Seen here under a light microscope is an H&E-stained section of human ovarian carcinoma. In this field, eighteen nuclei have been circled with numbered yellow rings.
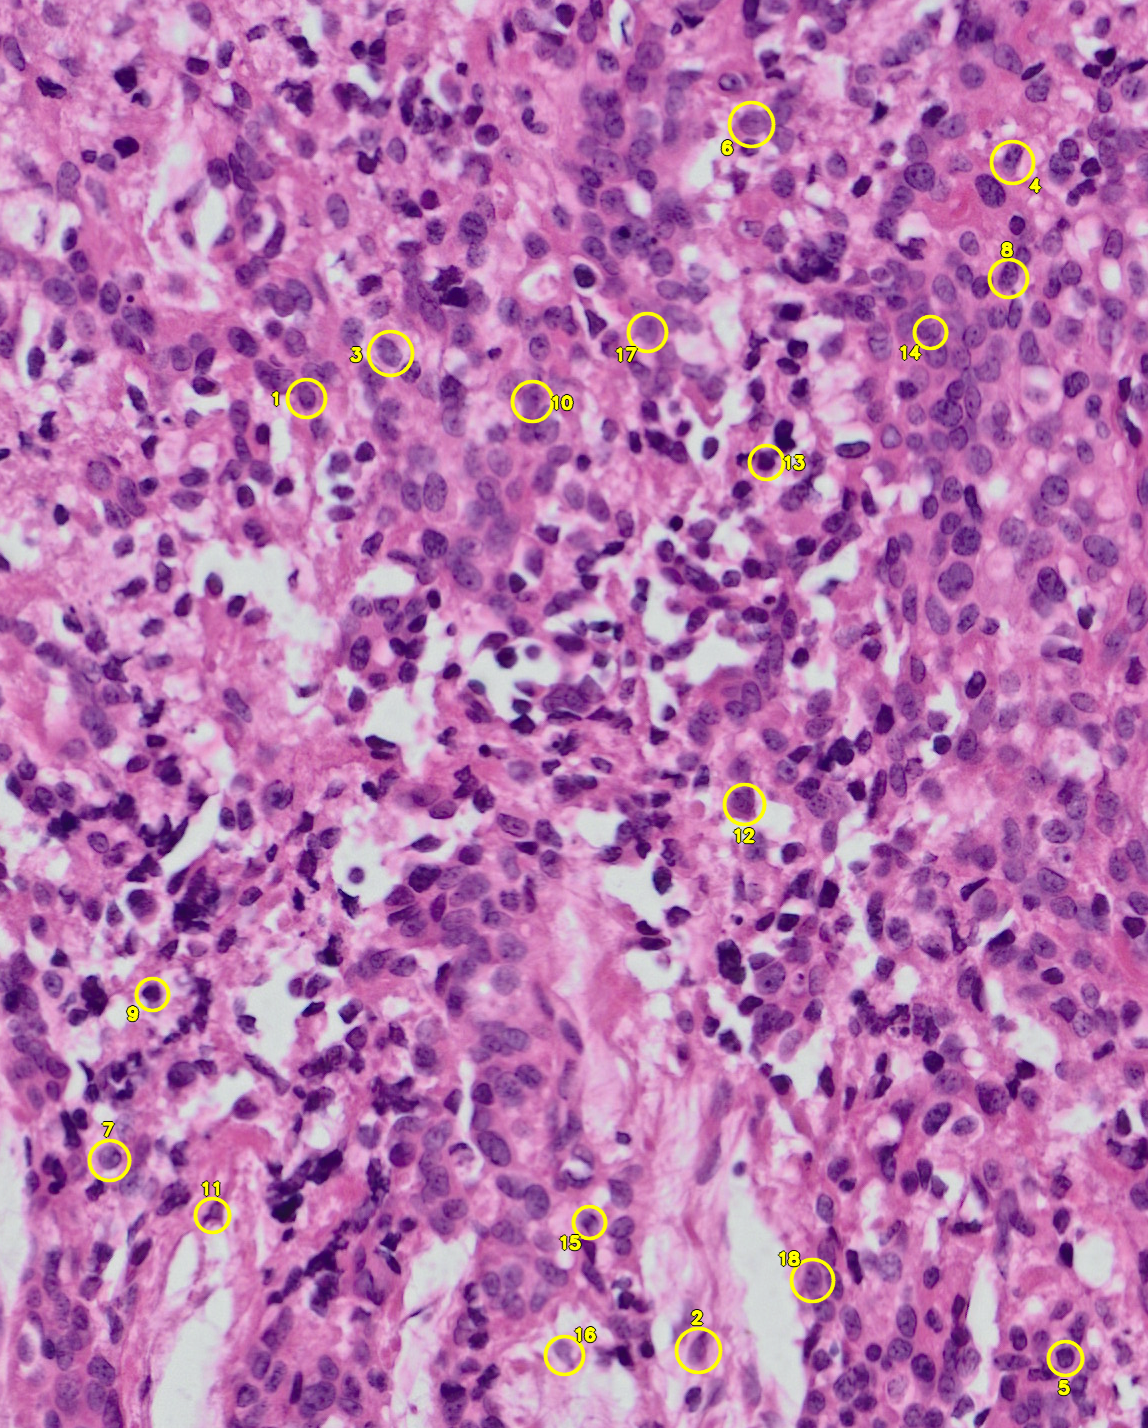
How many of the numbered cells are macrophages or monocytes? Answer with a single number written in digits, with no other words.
5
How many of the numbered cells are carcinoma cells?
10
